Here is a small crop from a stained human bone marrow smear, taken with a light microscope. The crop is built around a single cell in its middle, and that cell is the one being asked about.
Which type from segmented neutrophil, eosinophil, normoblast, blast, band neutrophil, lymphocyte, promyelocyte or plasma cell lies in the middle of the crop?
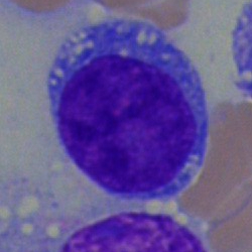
blast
